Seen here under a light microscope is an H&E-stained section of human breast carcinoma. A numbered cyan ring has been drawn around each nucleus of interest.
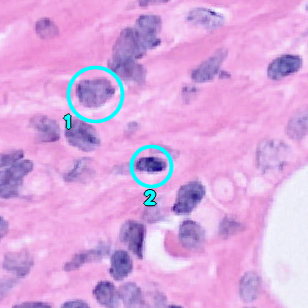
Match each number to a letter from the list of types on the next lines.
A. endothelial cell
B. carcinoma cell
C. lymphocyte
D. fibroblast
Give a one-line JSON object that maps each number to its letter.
{"1": "B", "2": "C"}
